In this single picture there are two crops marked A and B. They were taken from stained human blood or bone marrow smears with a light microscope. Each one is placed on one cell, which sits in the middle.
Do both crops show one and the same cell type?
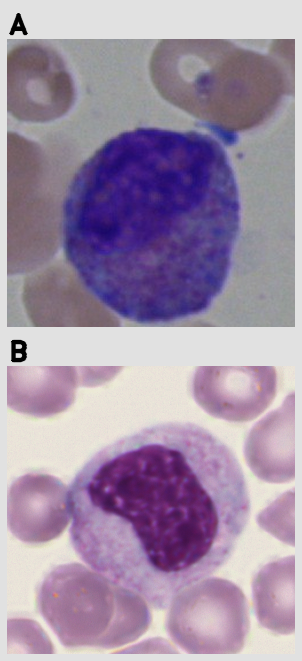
no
